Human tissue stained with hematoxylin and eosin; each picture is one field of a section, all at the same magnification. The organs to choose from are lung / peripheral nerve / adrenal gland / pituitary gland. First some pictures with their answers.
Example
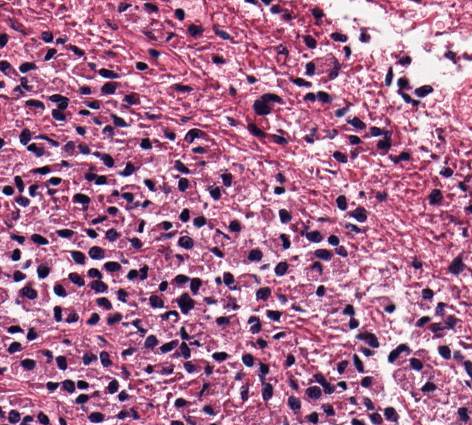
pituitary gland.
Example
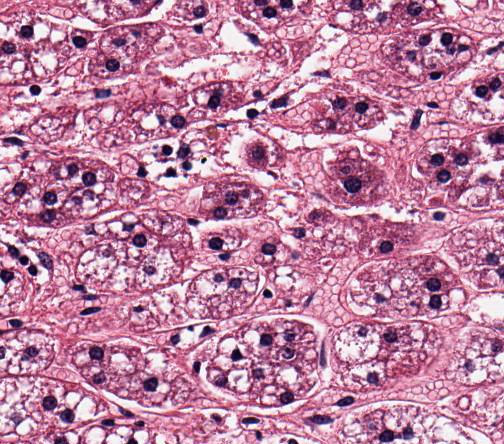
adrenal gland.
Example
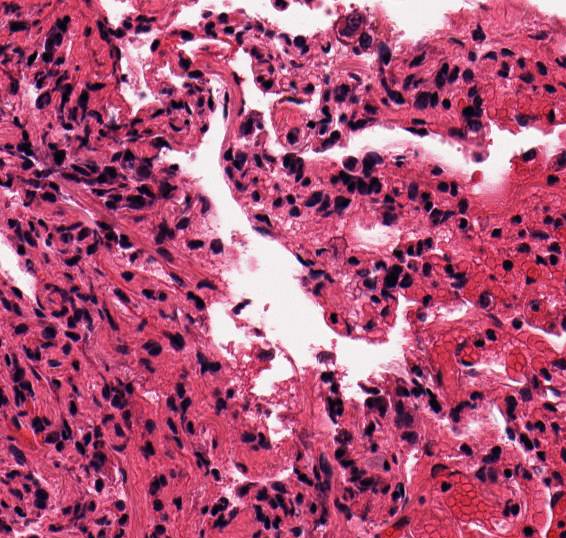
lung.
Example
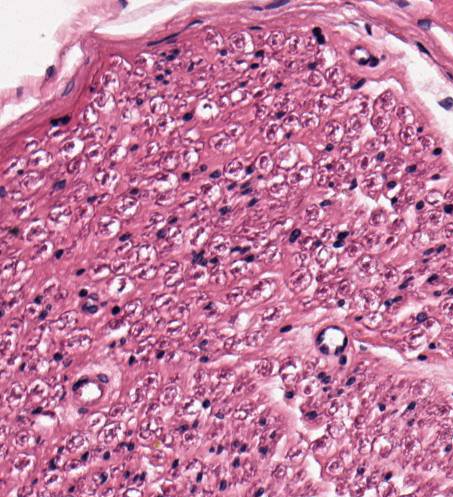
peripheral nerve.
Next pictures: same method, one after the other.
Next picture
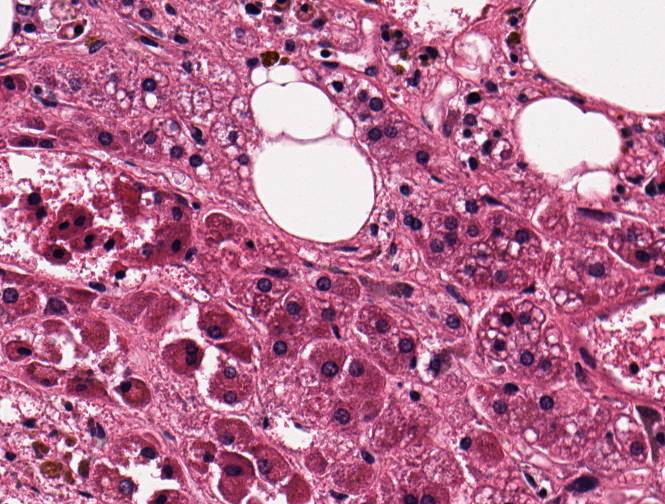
adrenal gland.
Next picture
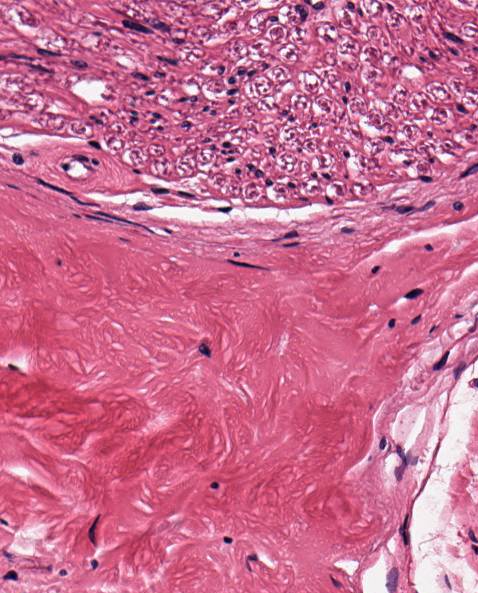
peripheral nerve.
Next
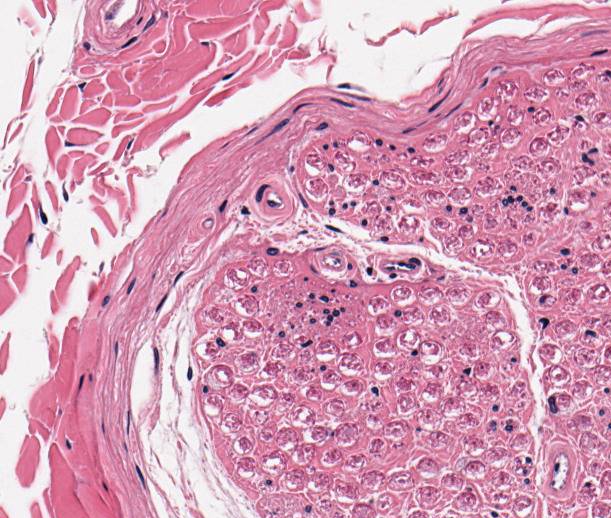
peripheral nerve.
